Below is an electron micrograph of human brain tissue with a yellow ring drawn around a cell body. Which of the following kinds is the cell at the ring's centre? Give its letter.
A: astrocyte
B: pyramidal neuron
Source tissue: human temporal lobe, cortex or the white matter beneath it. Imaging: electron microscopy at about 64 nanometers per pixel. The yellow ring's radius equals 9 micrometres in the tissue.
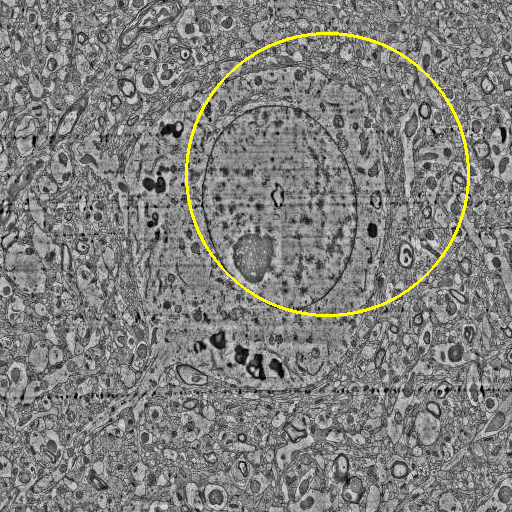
B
